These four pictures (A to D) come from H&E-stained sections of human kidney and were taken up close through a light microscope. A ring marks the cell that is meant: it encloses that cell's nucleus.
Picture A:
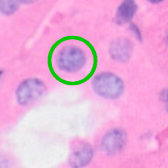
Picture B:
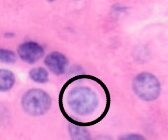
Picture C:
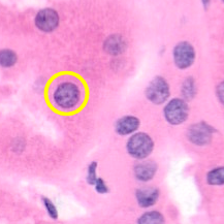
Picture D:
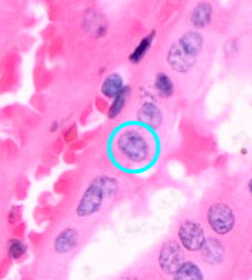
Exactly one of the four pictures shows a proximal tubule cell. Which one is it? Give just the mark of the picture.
C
